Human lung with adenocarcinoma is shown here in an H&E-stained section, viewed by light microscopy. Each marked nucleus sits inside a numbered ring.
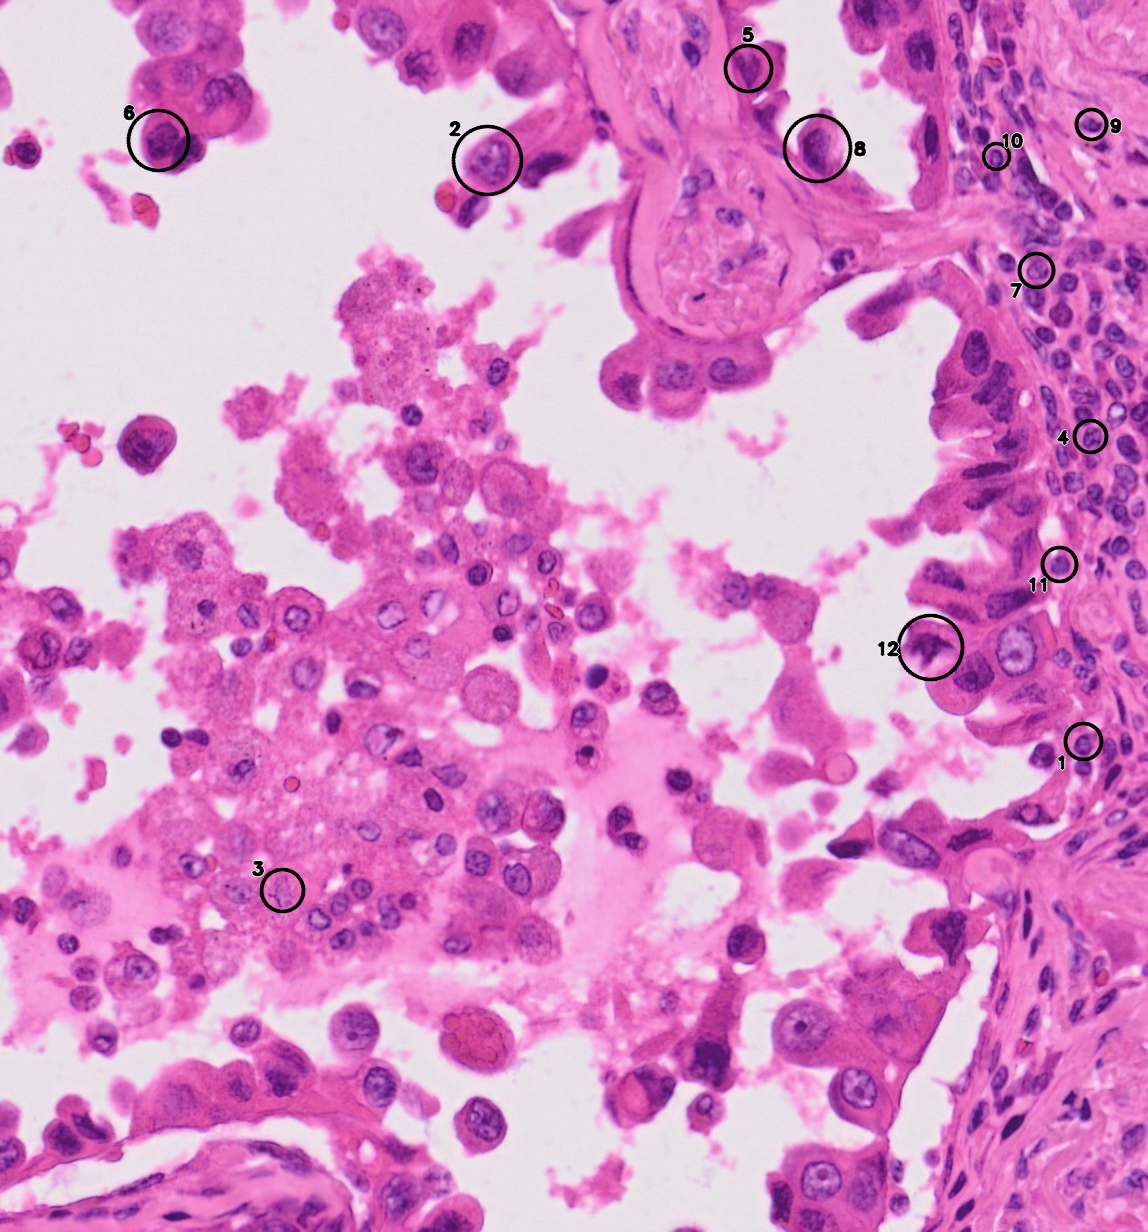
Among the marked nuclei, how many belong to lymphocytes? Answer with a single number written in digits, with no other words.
5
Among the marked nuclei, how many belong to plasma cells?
1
